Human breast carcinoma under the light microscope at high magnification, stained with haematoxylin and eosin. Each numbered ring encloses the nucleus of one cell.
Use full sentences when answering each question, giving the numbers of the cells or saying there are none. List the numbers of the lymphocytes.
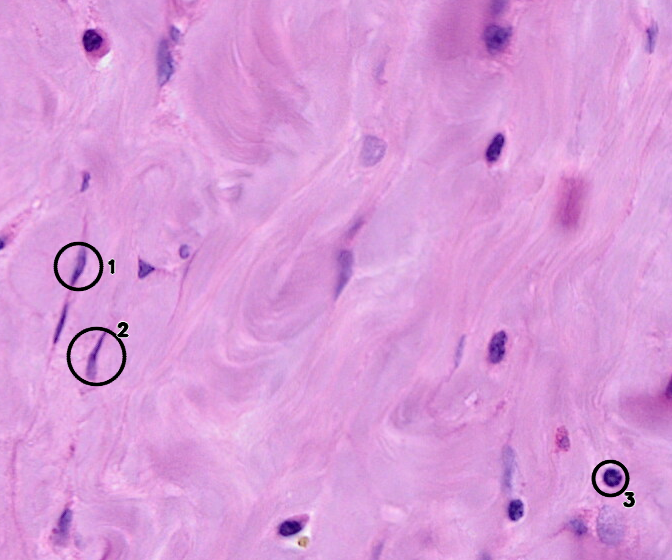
Being a lymphocyte is true of cell 3 and of no other numbered cell.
